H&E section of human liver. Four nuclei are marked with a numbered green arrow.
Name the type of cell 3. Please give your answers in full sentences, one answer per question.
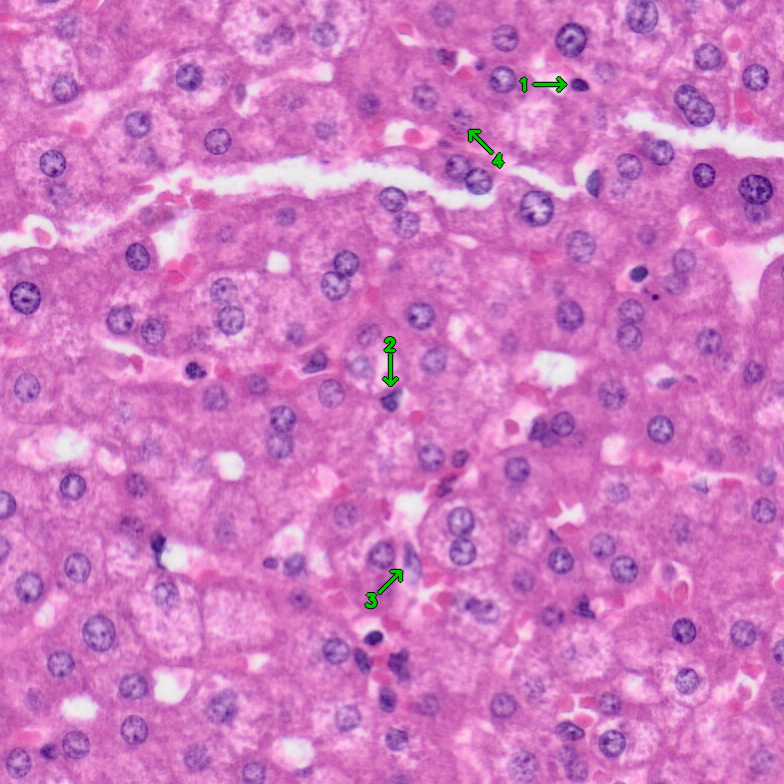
The cell pointed out as number 3 is a Kupffer cell.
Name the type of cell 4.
Identified as a hepatocyte is the cell bearing the number 4.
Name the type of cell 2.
The cell assigned the number 2 is an endothelial cell.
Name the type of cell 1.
The cell indicated with the number 1 is classed as a lymphocyte.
